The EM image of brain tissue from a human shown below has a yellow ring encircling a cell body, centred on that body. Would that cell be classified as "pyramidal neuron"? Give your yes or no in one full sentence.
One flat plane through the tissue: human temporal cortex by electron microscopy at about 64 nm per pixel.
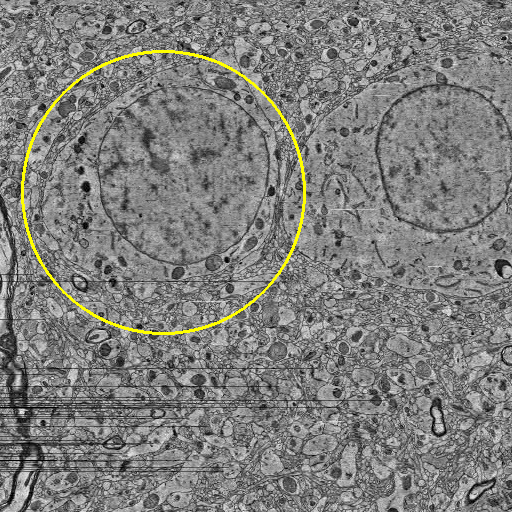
Yes, the cell at the centre of the ring in the picture falls in that class.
